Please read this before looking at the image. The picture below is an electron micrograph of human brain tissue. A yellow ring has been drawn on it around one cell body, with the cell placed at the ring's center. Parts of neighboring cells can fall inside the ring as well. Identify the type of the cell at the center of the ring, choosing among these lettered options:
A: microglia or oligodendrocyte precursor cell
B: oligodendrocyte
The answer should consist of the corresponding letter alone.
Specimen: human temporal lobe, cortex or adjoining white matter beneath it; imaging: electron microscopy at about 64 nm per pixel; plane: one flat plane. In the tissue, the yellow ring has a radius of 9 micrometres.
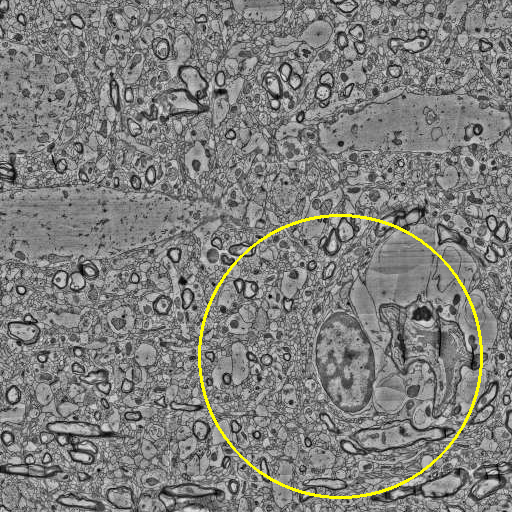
A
